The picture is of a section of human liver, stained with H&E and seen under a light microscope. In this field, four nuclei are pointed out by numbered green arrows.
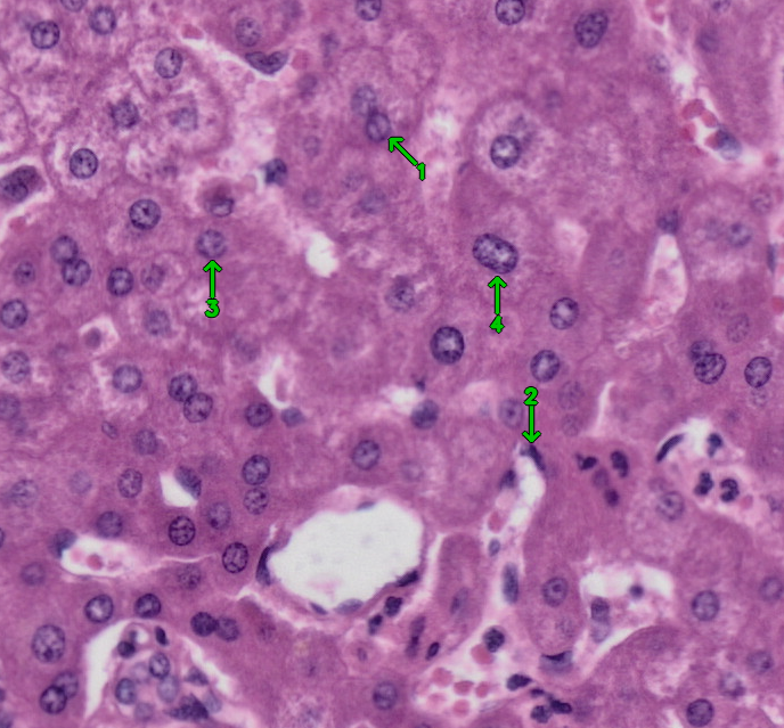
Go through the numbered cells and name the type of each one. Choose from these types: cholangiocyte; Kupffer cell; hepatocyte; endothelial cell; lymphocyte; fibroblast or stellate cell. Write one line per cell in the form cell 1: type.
cell 1: hepatocyte
cell 2: fibroblast or stellate cell
cell 3: hepatocyte
cell 4: hepatocyte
